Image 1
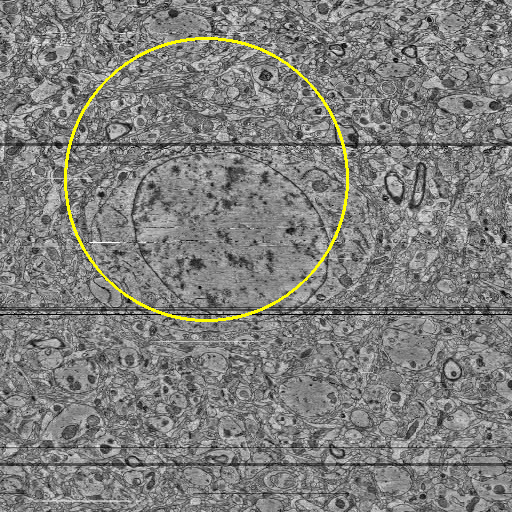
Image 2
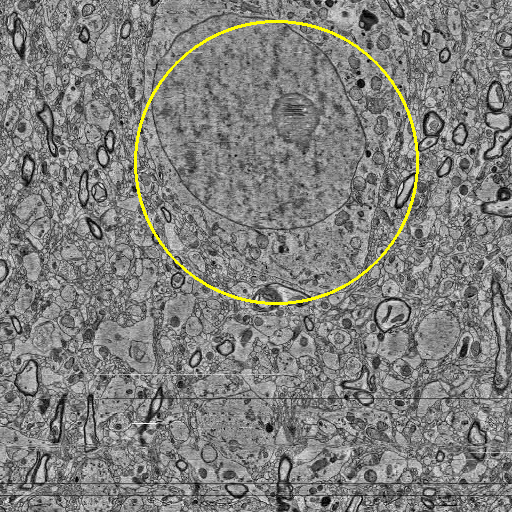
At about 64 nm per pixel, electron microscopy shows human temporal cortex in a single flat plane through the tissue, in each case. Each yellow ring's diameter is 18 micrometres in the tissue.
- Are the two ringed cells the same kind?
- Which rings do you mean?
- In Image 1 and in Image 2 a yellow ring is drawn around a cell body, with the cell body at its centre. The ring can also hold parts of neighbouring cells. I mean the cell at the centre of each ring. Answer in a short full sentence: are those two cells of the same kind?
Yes, both cells are of the same kind.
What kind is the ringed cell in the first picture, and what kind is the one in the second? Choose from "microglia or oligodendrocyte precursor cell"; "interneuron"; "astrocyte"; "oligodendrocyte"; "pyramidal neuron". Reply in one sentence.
In each picture the ringed cell is a pyramidal neuron.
